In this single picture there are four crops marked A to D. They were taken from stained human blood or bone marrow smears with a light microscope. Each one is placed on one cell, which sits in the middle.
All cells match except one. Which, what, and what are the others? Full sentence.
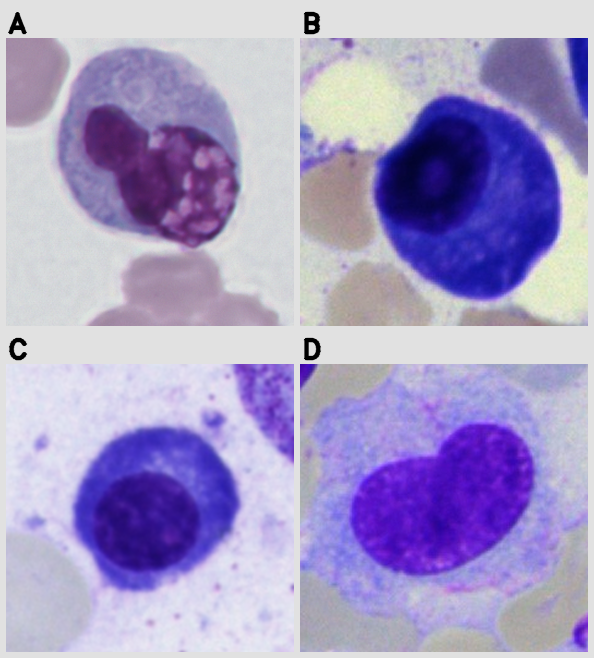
The others are all plasma cells; crop D is a hairy cell.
